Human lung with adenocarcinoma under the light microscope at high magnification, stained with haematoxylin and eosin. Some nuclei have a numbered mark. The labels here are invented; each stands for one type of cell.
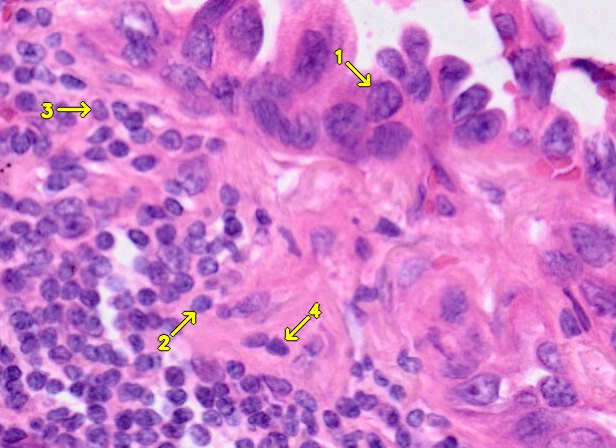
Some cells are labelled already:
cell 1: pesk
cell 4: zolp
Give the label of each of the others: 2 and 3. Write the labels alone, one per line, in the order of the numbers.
zolp
zolp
